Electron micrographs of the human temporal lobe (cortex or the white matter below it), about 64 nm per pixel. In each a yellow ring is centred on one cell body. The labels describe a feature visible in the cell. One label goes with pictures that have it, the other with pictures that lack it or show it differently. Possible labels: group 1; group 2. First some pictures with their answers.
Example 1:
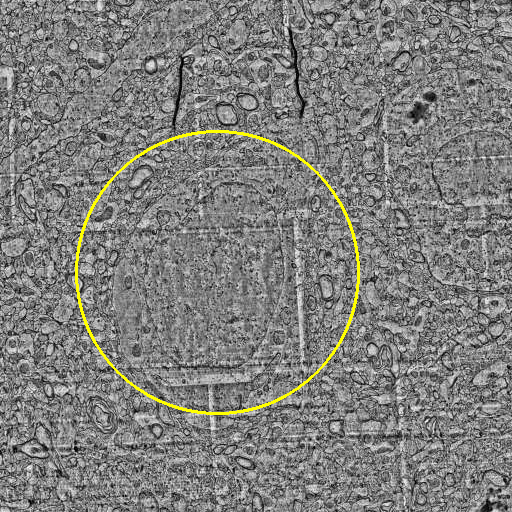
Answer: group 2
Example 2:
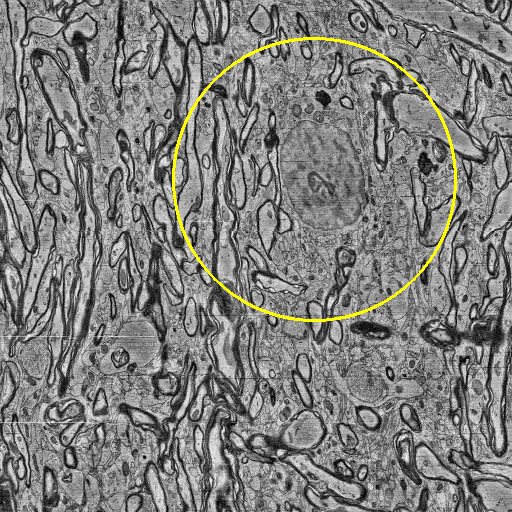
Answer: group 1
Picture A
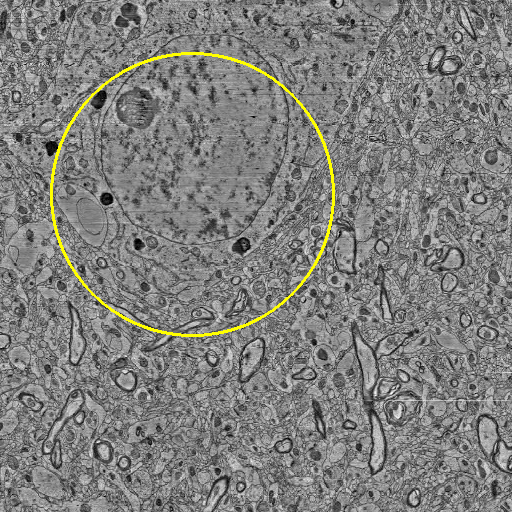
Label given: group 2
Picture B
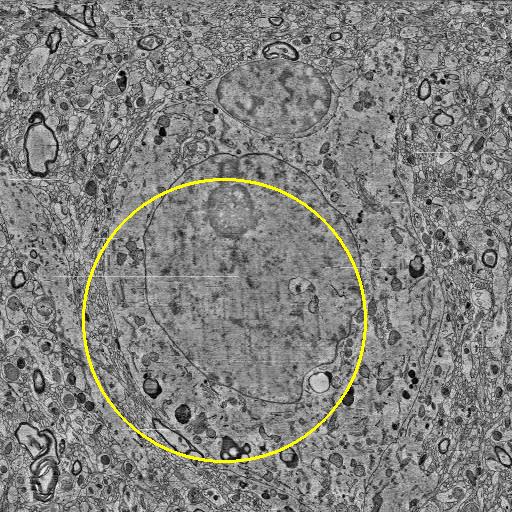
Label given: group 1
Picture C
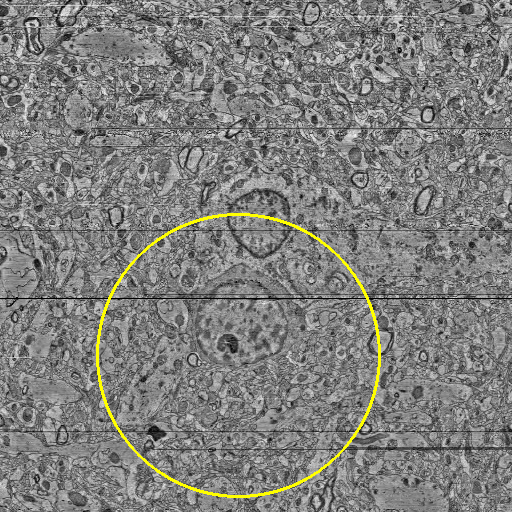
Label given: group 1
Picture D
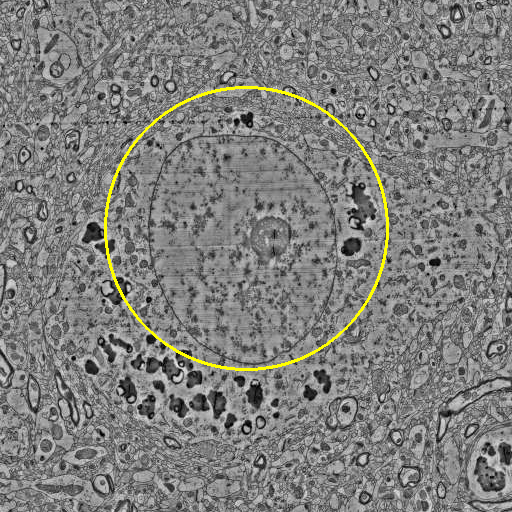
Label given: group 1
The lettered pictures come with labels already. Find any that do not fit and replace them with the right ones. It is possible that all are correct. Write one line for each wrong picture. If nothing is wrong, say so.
Wrong: A (group 2); correct: group 1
